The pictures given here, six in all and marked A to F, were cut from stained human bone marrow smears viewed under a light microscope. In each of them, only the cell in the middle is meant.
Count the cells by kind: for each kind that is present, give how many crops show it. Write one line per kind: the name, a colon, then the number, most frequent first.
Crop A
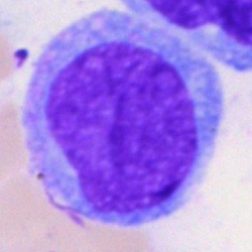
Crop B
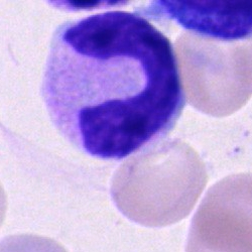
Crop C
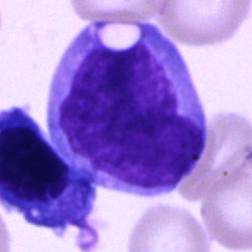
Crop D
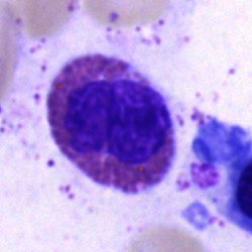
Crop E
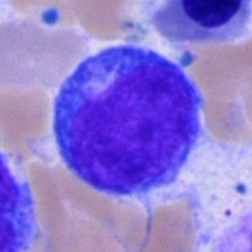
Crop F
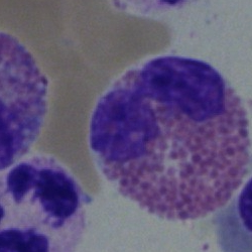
blast: 3
eosinophil: 2
band neutrophil: 1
